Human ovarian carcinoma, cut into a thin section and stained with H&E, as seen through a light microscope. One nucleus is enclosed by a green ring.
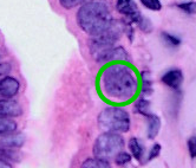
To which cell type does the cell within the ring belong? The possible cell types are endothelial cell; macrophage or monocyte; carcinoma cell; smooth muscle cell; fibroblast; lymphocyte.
carcinoma cell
